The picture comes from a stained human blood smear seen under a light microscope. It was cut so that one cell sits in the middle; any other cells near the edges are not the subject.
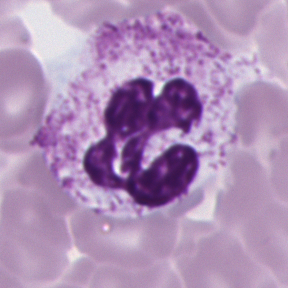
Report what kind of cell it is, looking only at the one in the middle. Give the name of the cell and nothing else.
segmented neutrophil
